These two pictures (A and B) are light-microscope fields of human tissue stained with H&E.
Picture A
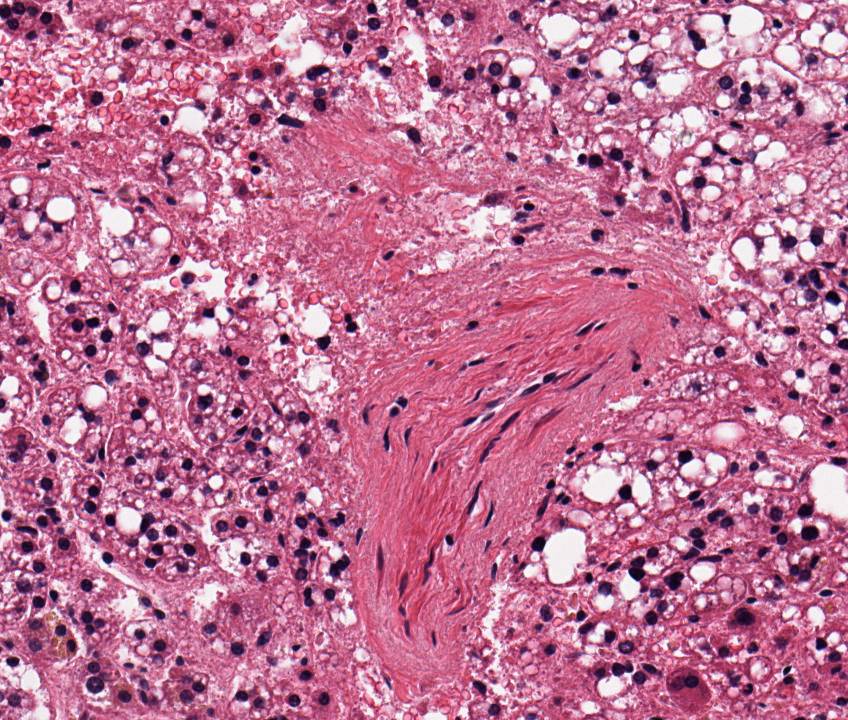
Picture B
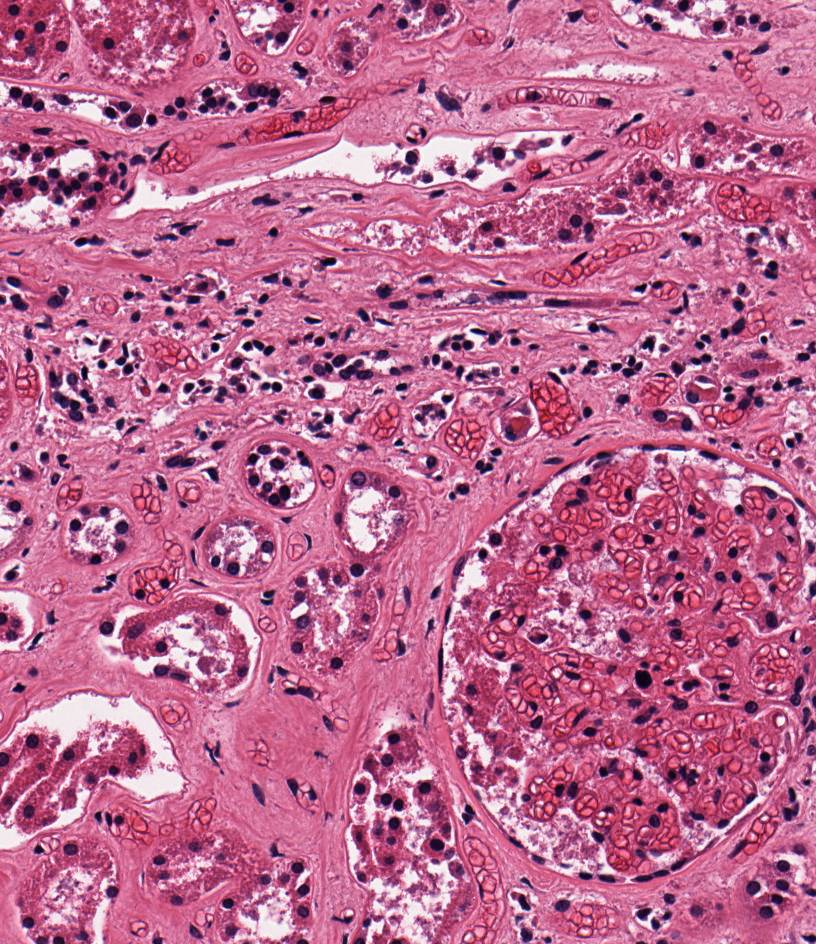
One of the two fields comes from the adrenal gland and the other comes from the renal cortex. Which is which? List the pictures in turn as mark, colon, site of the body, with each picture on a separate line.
A: adrenal gland
B: renal cortex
